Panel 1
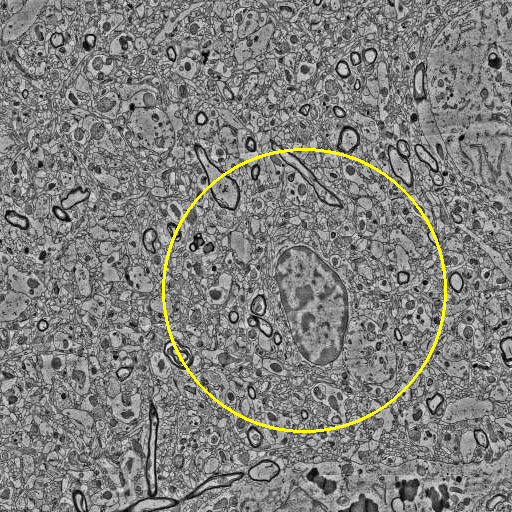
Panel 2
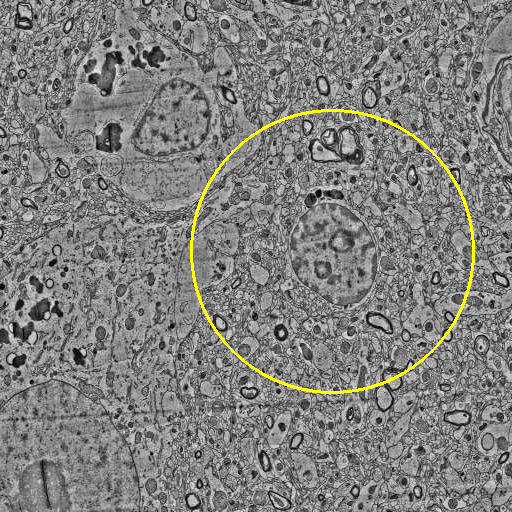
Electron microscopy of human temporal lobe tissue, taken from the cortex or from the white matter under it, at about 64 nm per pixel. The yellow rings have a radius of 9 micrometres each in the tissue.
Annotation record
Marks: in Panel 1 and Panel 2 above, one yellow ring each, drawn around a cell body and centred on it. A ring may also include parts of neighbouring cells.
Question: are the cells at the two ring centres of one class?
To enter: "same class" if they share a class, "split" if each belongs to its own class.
same class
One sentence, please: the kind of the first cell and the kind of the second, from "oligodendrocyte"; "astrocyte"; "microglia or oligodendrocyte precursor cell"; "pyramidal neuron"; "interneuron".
In the first picture and in the second, the ring is centred on a microglial cell or oligodendrocyte precursor cell.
